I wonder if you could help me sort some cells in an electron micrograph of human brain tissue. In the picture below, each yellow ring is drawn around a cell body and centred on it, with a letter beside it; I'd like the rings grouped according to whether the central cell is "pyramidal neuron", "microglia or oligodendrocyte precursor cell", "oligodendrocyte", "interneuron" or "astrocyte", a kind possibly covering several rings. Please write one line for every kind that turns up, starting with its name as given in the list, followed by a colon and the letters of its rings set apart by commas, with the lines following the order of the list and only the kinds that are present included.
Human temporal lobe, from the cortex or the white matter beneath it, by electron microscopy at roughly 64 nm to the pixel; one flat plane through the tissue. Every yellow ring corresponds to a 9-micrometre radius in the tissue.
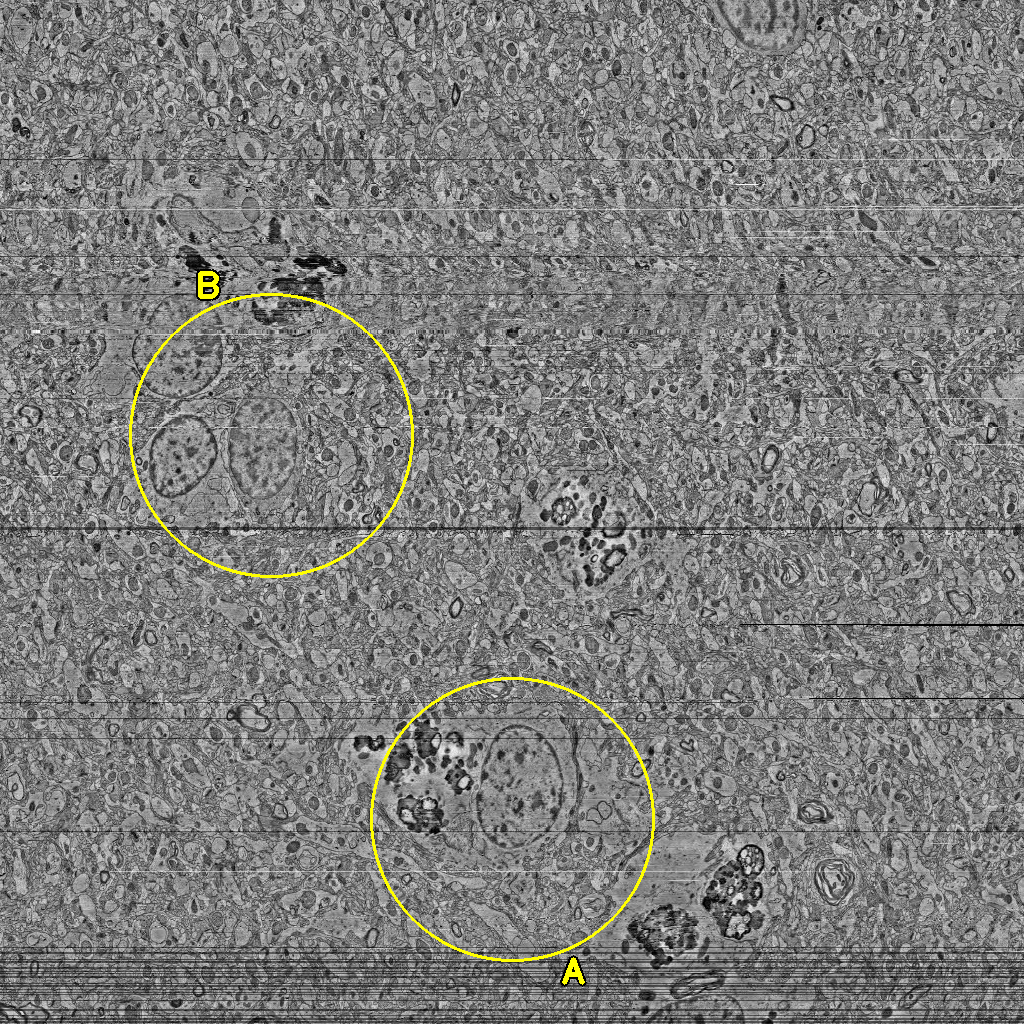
oligodendrocyte: B
astrocyte: A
